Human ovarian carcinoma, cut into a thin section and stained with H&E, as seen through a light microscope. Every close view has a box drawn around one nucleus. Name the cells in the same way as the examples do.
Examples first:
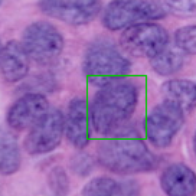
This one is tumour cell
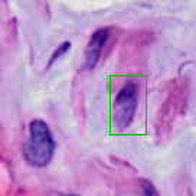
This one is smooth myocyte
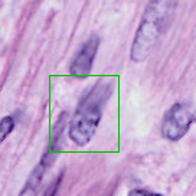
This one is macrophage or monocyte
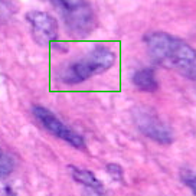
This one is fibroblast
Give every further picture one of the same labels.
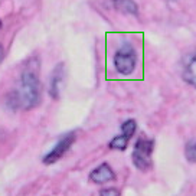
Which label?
macrophage or monocyte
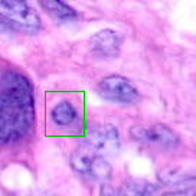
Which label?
macrophage or monocyte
